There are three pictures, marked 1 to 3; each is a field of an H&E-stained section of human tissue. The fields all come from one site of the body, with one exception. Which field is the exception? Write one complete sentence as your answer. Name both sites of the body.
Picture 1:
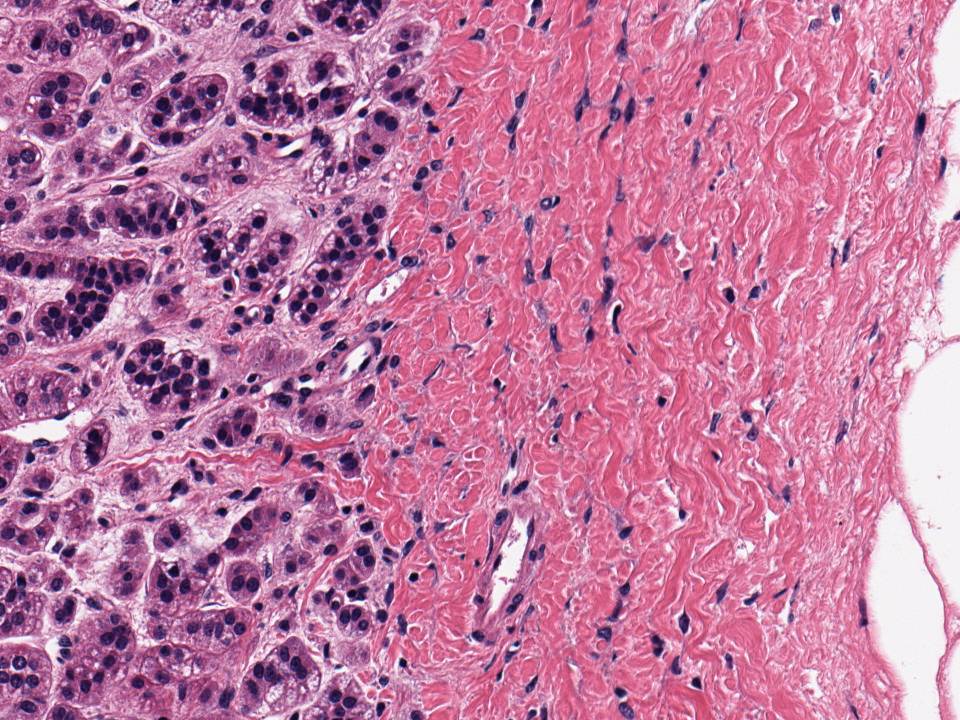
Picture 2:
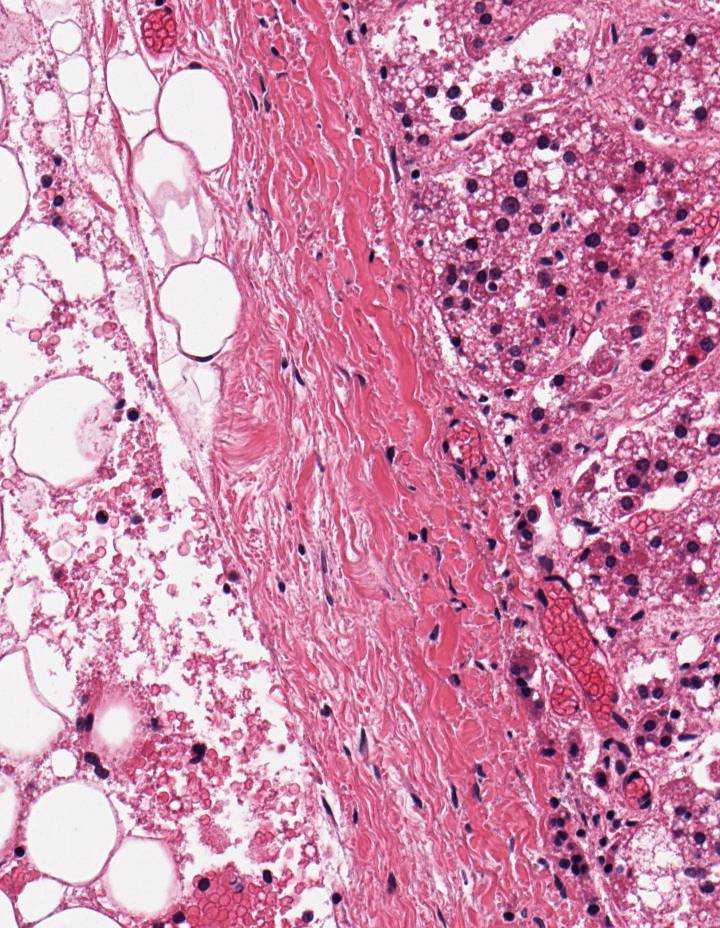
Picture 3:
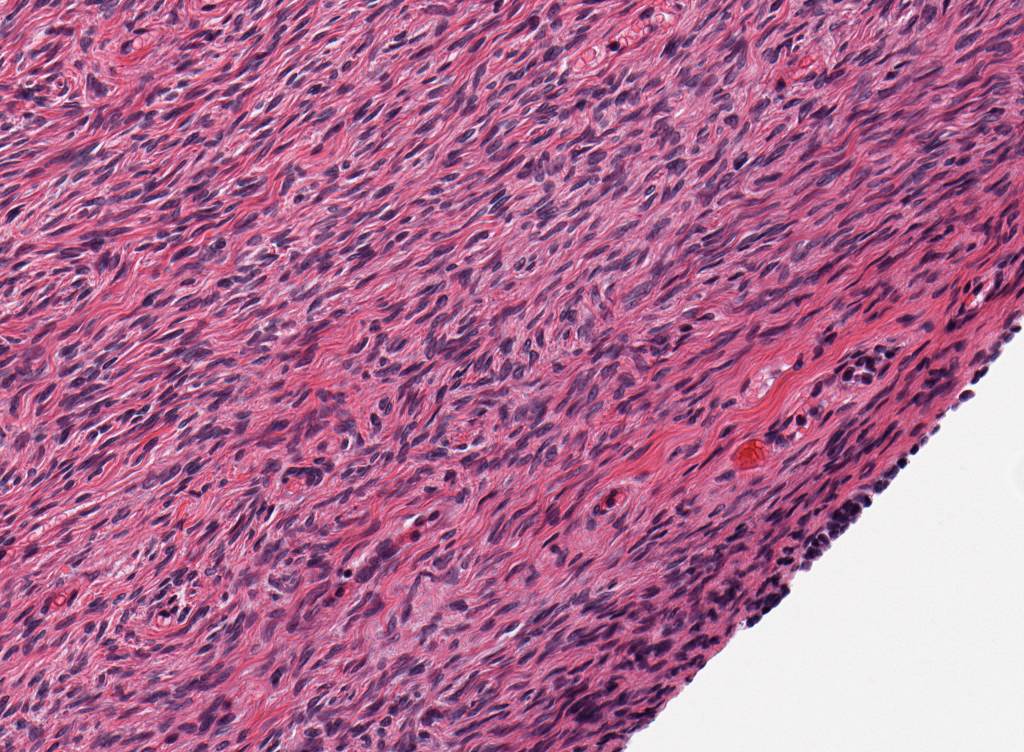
Picture 3 is the odd one out: it comes from the ovary, while the others come from the adrenal gland.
